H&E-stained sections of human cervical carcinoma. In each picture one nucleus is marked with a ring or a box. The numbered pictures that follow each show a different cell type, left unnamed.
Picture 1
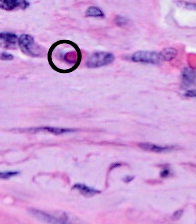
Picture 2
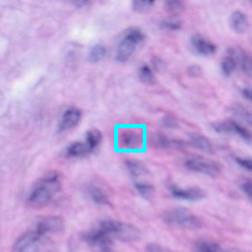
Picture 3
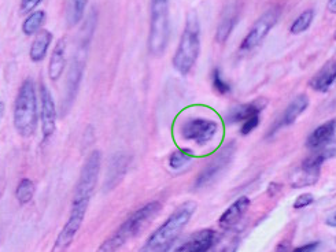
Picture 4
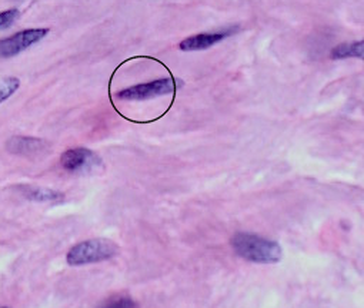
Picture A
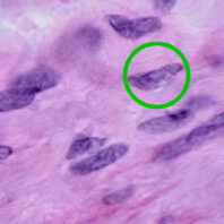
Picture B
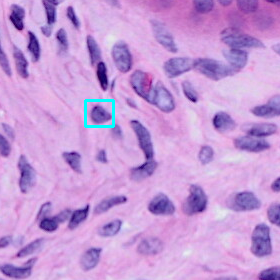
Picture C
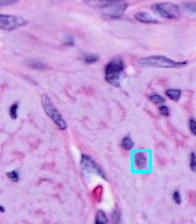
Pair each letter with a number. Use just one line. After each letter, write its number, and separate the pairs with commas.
A 4, B 4, C 2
